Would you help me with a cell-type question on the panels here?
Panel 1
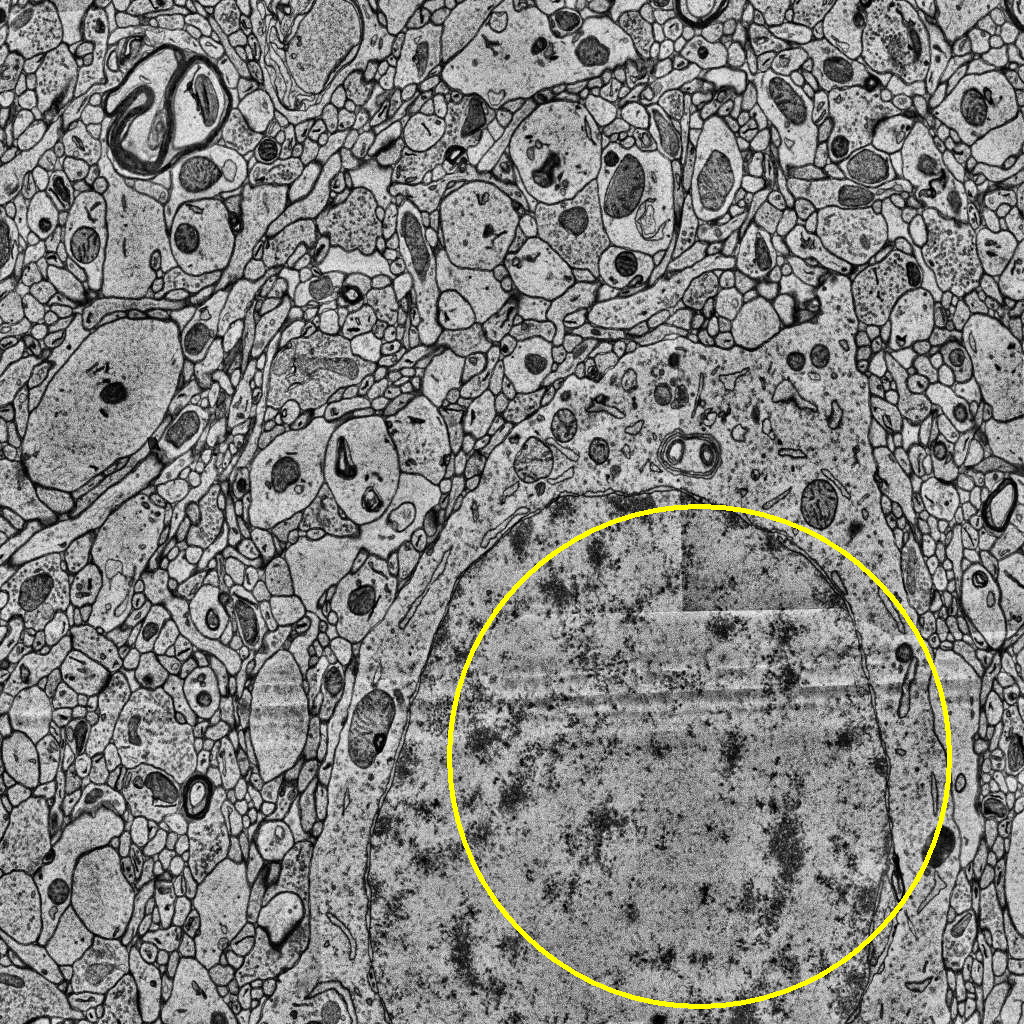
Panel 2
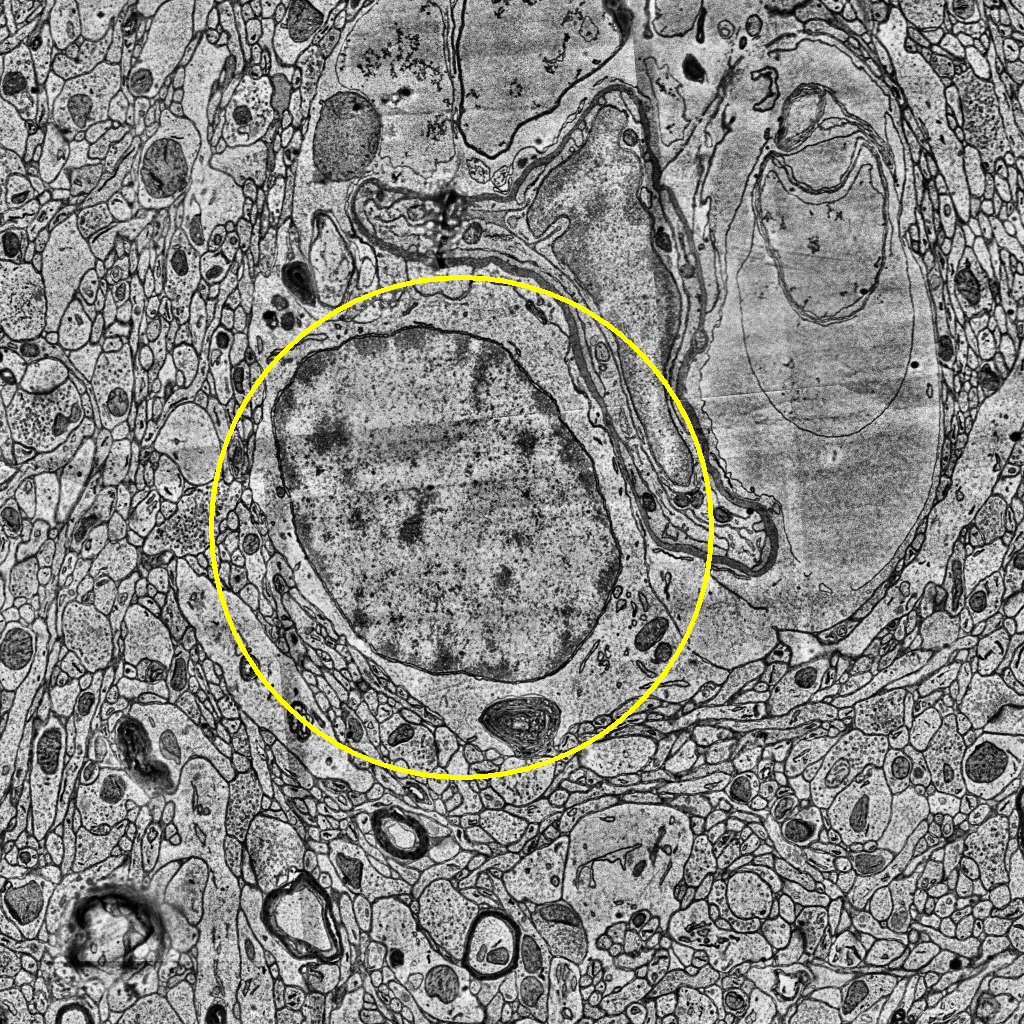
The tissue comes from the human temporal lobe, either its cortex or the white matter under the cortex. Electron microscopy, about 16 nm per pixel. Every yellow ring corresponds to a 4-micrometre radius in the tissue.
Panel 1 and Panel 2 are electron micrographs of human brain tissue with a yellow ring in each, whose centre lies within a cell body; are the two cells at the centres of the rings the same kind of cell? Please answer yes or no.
no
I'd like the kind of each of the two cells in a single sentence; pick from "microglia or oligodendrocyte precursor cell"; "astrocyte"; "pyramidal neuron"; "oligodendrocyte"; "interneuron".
The second cell is a microglial cell or oligodendrocyte precursor cell, while the first is an interneuron.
